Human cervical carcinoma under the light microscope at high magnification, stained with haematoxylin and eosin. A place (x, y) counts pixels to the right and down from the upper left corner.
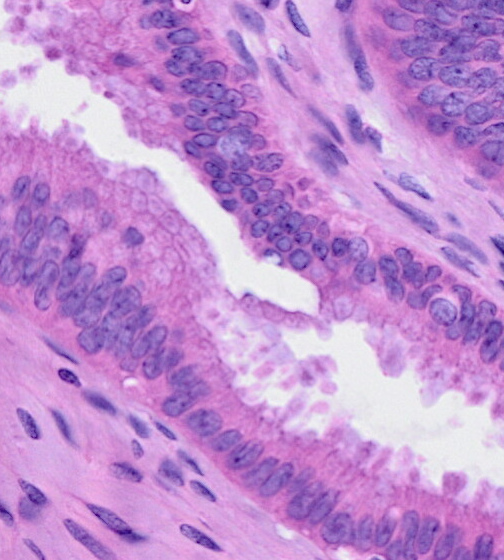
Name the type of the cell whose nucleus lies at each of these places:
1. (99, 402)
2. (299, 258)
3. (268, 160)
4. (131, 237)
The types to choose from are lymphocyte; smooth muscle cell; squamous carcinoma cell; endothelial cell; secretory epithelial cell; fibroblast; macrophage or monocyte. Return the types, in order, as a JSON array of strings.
["fibroblast", "secretory epithelial cell", "secretory epithelial cell", "secretory epithelial cell"]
